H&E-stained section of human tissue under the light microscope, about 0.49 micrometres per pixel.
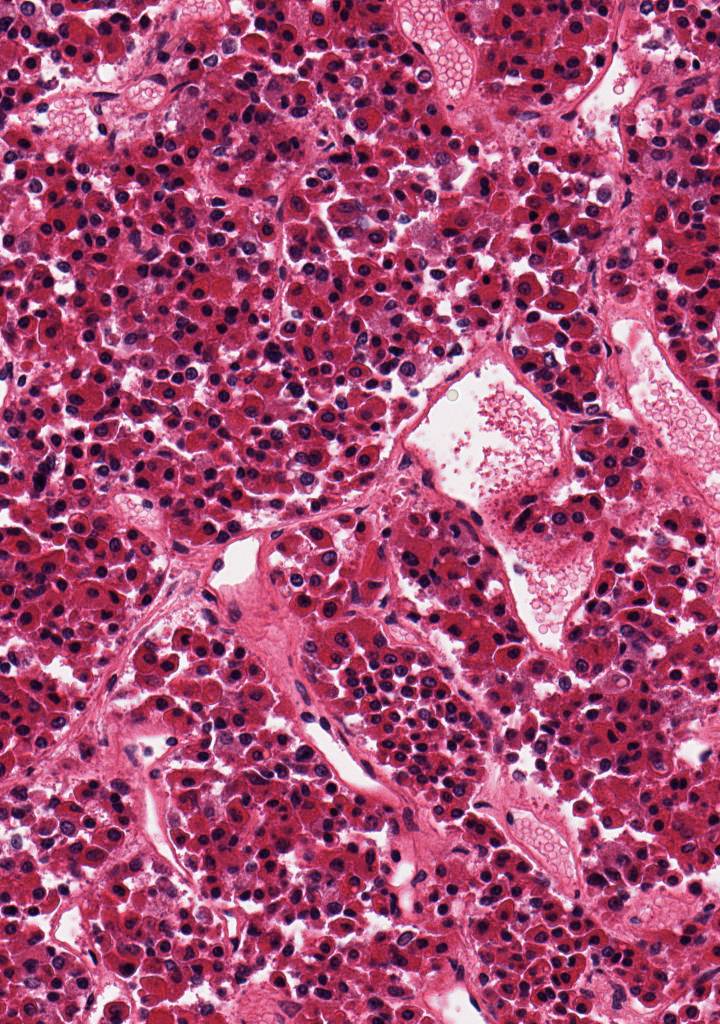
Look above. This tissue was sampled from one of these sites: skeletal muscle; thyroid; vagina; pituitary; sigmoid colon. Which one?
pituitary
